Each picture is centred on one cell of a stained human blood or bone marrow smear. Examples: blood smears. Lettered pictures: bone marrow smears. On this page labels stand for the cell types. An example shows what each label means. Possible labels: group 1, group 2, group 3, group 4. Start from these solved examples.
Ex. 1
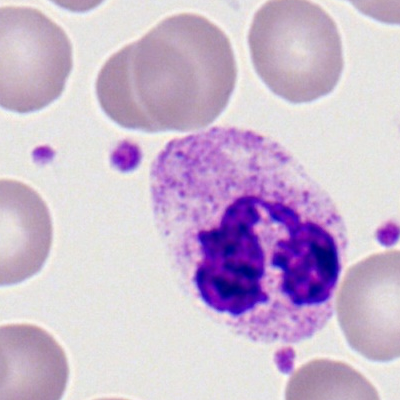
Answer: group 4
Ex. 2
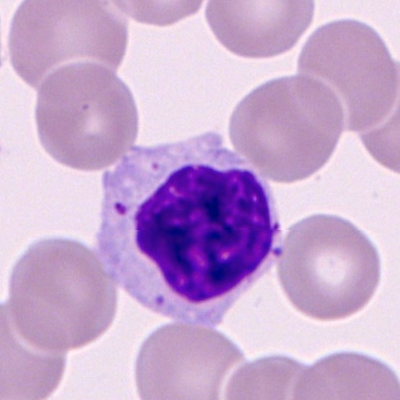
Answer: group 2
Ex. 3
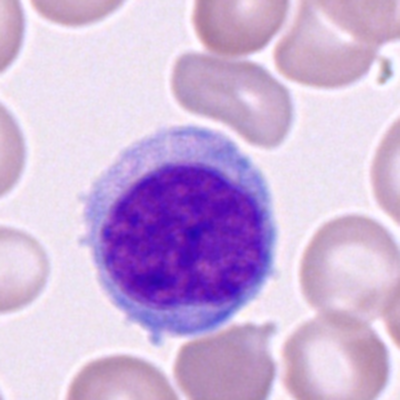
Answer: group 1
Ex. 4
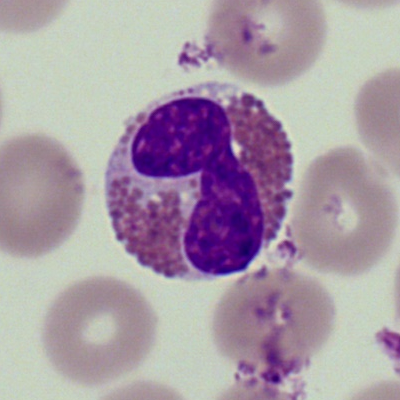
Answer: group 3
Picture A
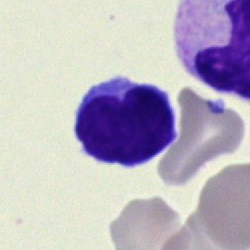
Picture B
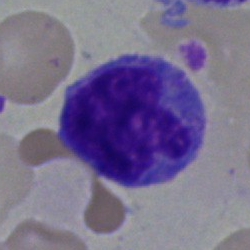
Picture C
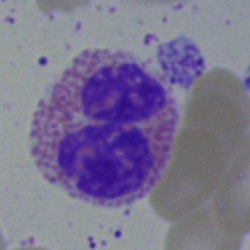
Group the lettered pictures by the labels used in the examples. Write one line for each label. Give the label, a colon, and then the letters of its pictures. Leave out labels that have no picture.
group 1: B
group 2: A
group 3: C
